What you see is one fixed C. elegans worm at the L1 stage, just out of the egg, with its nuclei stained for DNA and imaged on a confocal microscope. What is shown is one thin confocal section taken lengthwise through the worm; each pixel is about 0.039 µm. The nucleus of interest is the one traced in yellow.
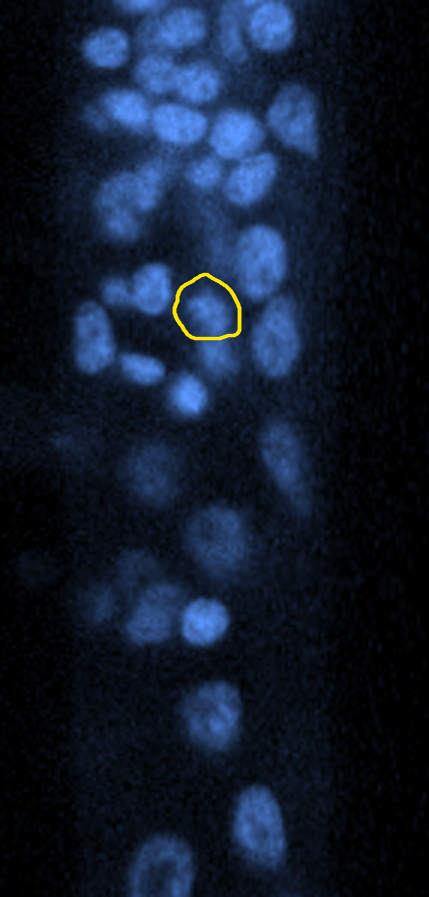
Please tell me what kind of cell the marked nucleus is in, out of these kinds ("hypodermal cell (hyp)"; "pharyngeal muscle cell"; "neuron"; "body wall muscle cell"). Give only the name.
pharyngeal muscle cell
